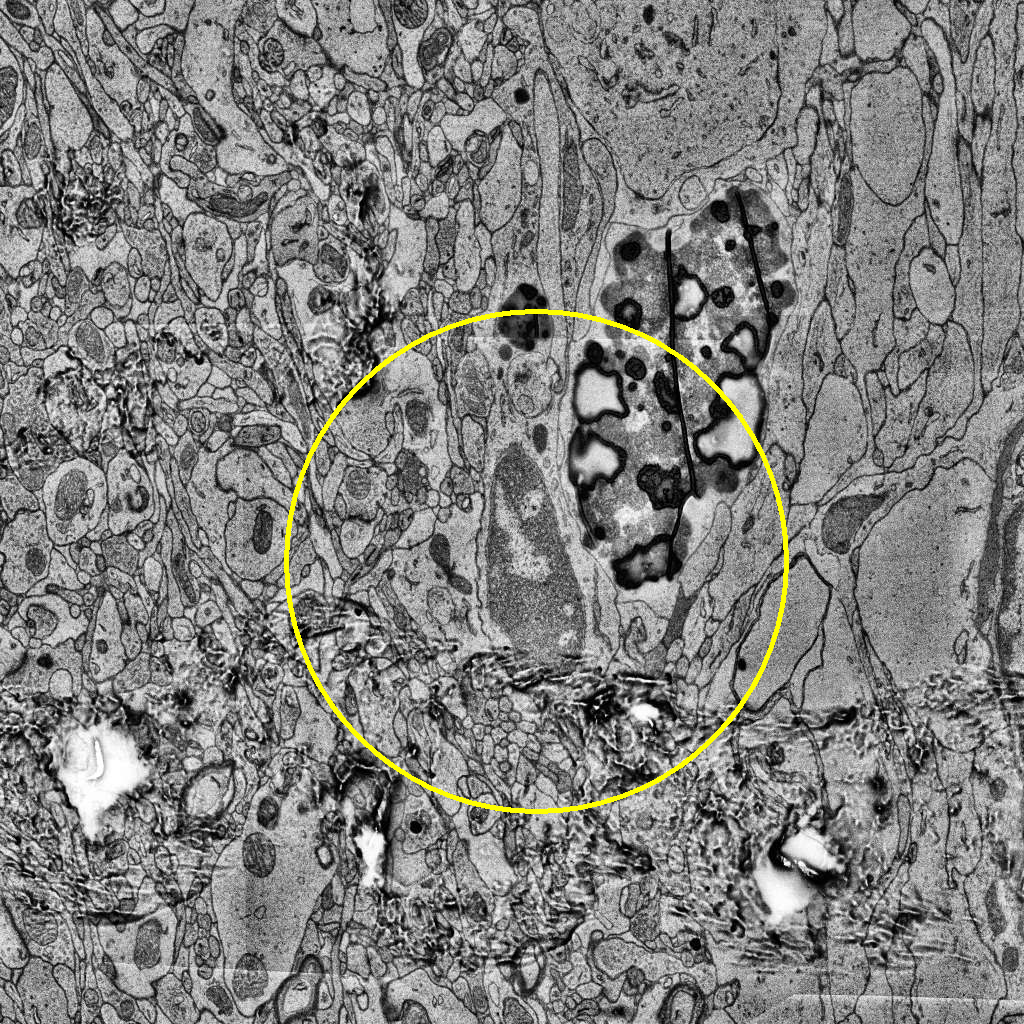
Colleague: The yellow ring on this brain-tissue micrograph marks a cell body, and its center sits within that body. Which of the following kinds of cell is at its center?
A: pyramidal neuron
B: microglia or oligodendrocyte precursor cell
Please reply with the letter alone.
B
